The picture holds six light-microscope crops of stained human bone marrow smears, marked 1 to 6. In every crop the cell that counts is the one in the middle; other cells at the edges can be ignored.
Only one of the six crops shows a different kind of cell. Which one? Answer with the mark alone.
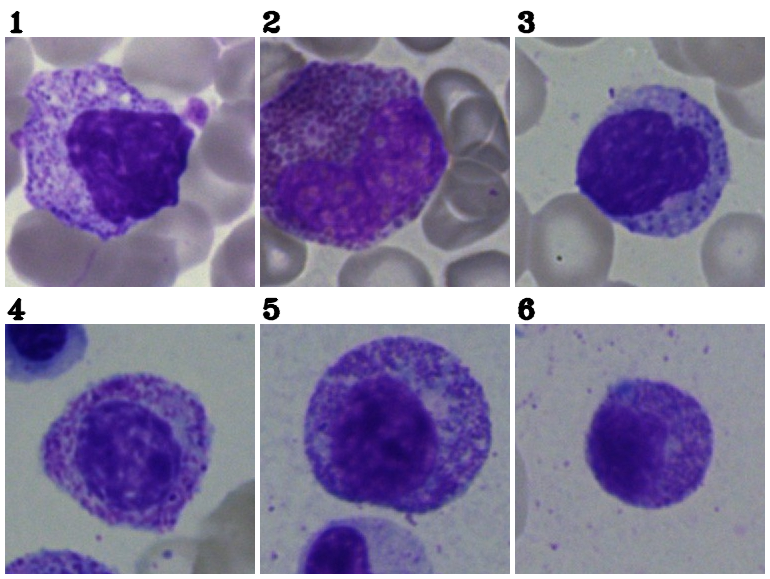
2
